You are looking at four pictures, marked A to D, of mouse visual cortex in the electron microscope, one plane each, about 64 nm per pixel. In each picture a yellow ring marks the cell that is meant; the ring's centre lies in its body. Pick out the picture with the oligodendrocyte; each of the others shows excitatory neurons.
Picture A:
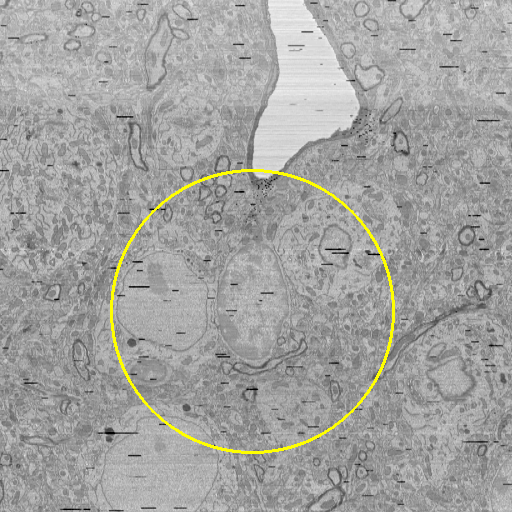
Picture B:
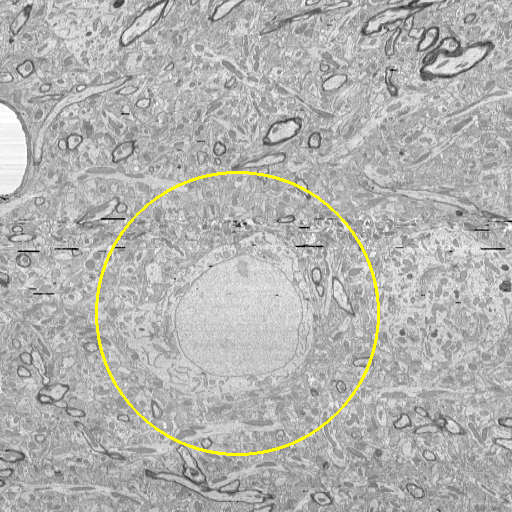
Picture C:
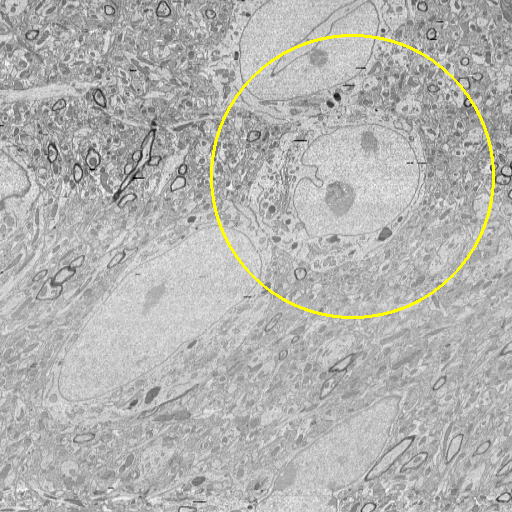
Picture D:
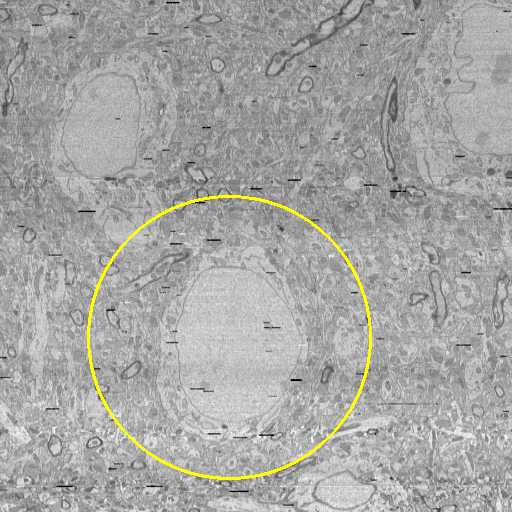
Picture A is the one that shows the oligodendrocyte.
